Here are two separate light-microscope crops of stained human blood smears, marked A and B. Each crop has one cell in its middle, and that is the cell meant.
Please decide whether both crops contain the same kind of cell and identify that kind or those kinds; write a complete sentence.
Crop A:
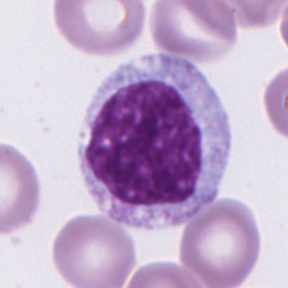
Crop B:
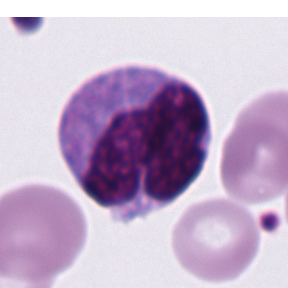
No, crop A represents a myelocyte, and crop B represents a monocyte.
